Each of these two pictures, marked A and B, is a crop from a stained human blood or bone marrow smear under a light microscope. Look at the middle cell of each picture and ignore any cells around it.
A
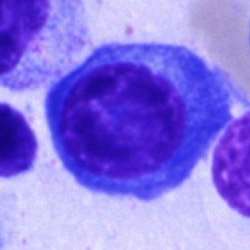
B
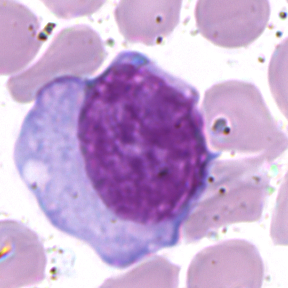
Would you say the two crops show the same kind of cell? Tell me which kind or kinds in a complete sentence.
Yes, plasma cells are the cells in the middle of both crops.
